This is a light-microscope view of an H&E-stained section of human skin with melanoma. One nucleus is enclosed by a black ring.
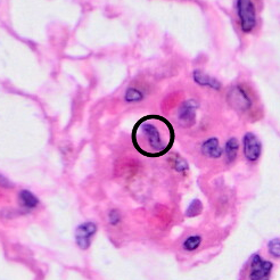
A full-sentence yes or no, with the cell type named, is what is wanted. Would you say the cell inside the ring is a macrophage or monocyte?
Yes, what the cell inside the ring represents in this tissue is a macrophage or monocyte.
